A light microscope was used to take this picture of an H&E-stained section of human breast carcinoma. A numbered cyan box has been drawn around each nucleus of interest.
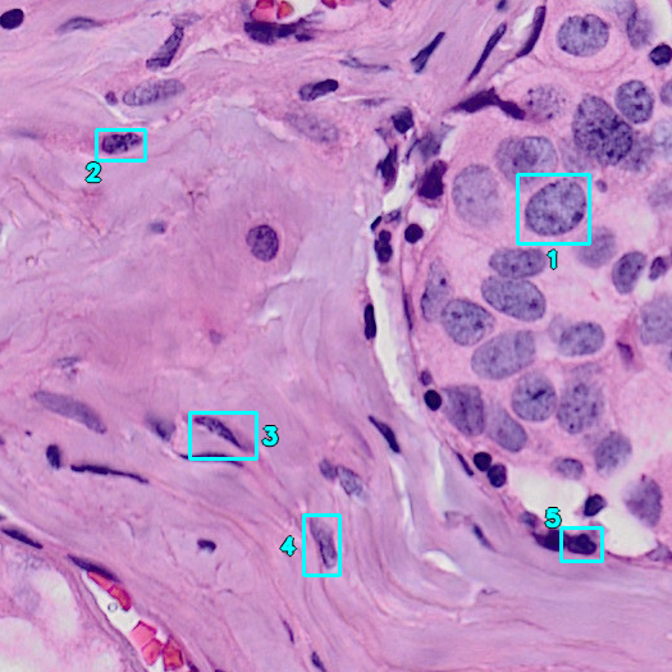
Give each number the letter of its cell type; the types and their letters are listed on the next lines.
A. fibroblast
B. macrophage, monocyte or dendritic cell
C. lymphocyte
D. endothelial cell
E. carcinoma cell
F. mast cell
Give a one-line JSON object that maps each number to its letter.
{"1": "E", "2": "F", "3": "A", "4": "A", "5": "C"}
